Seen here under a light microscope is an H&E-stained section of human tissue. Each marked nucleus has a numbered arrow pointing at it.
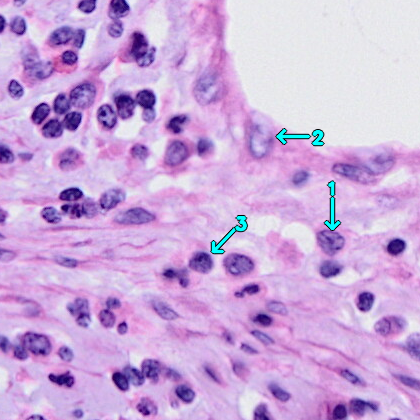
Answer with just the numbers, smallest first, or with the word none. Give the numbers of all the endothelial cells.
2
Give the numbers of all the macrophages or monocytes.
1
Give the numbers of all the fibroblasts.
none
